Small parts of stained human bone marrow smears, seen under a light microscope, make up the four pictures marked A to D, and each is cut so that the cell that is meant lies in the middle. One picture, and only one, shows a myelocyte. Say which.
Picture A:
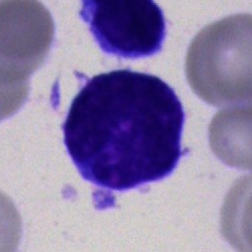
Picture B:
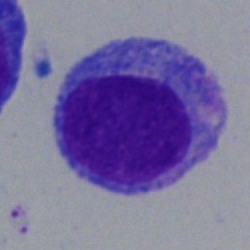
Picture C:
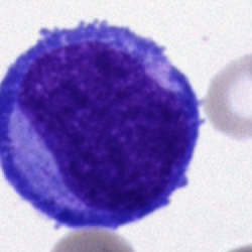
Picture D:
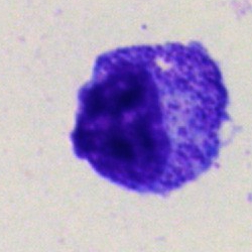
D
